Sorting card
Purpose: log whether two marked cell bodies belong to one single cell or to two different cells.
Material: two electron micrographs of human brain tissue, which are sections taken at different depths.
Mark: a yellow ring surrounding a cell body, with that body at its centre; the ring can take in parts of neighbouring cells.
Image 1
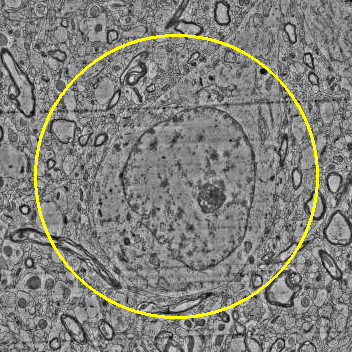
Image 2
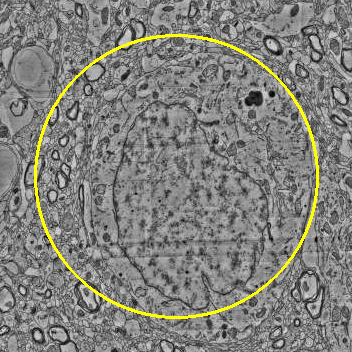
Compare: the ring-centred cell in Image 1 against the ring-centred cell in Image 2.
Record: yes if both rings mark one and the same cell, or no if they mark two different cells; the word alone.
no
